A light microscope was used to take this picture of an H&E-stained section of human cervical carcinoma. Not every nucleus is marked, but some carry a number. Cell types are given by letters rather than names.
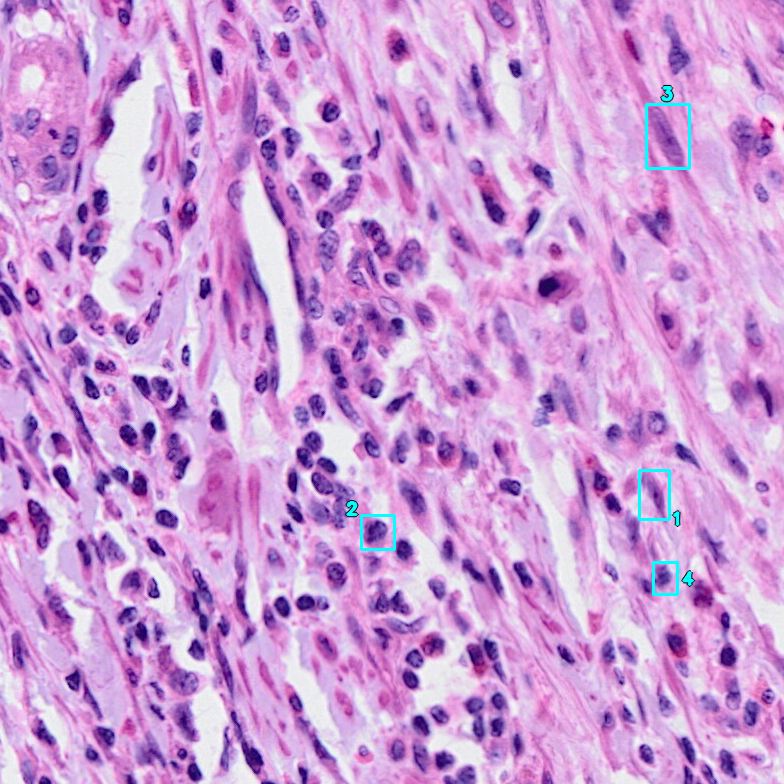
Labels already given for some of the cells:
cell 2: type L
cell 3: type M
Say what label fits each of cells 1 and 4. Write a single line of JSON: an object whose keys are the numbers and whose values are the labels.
{"1": "type M", "4": "type L"}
